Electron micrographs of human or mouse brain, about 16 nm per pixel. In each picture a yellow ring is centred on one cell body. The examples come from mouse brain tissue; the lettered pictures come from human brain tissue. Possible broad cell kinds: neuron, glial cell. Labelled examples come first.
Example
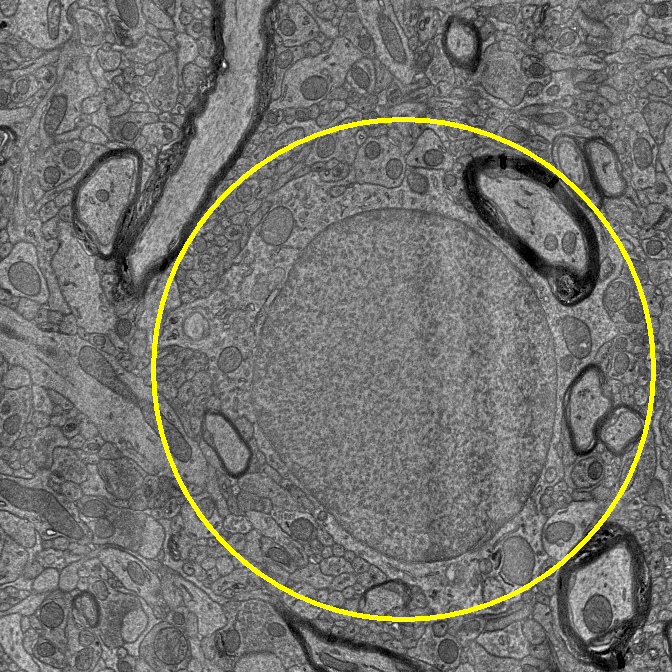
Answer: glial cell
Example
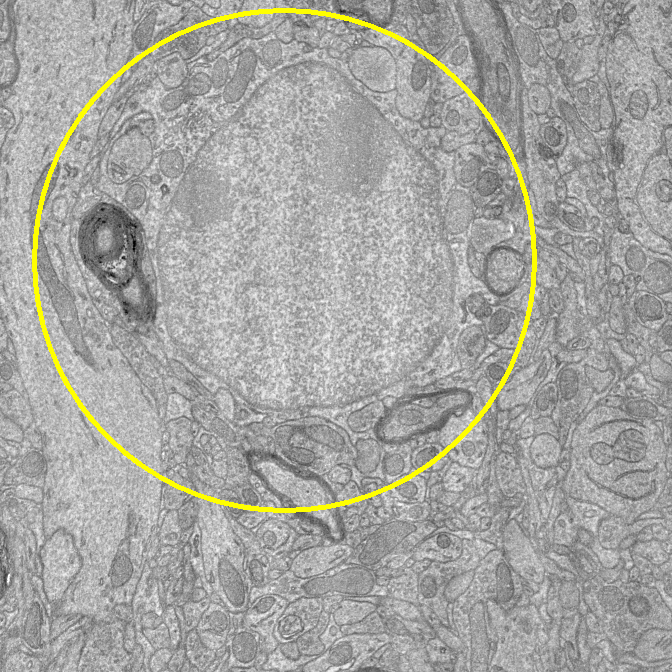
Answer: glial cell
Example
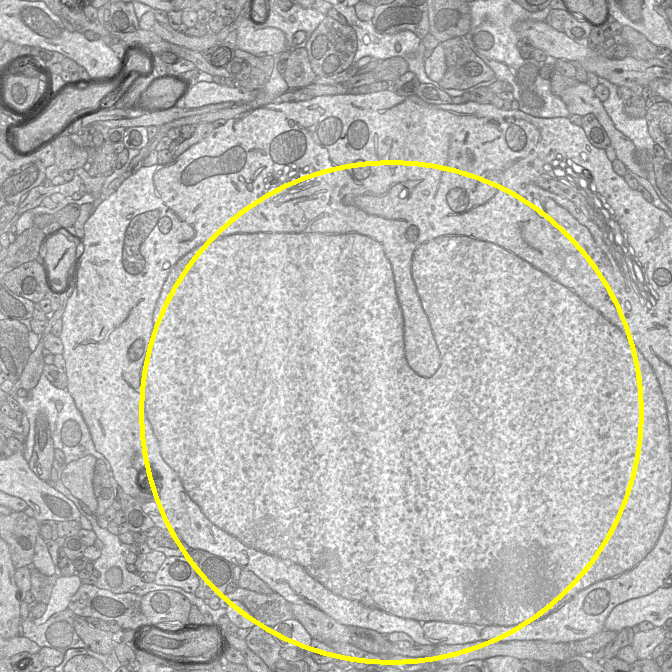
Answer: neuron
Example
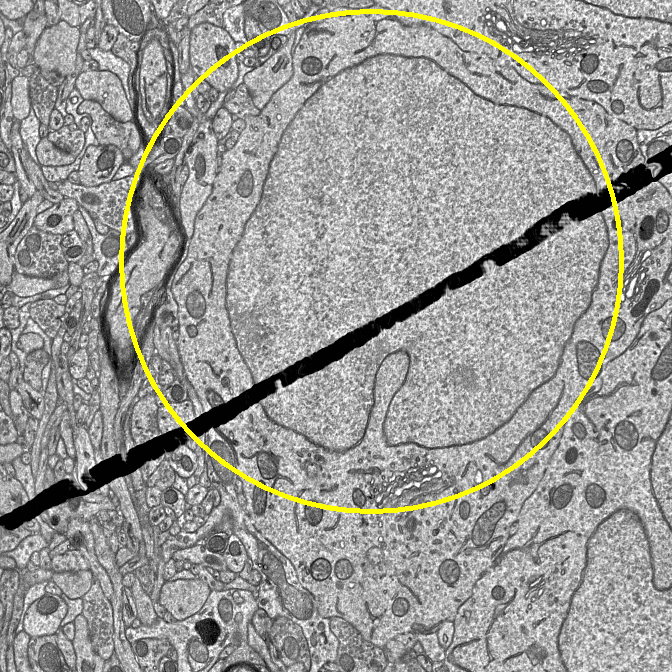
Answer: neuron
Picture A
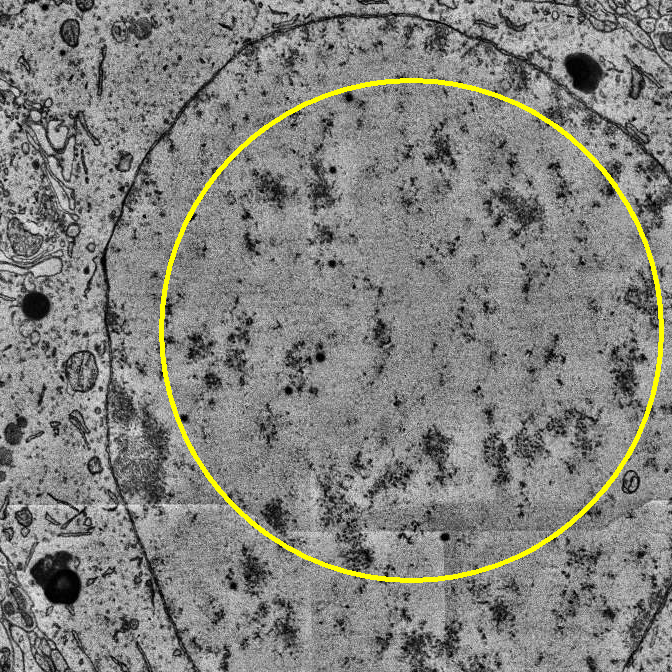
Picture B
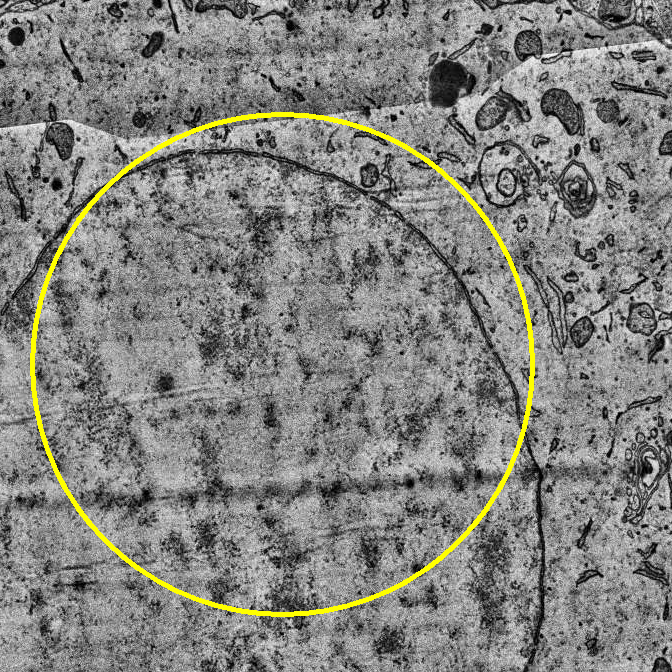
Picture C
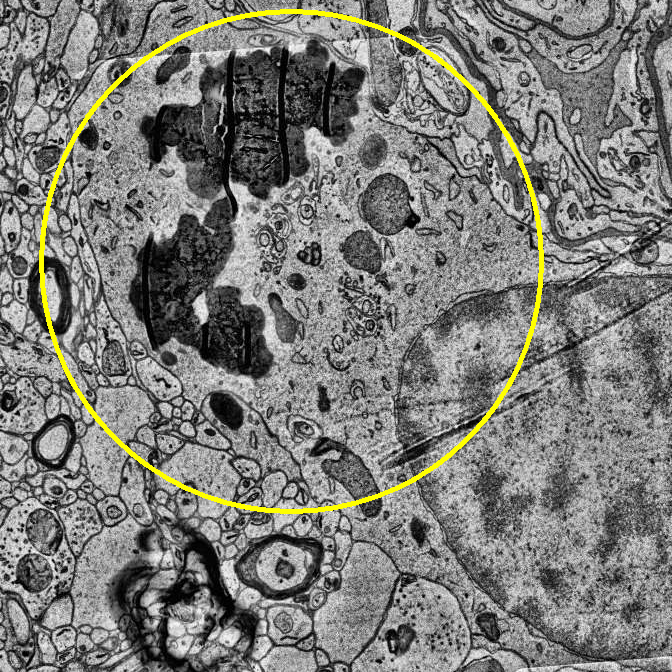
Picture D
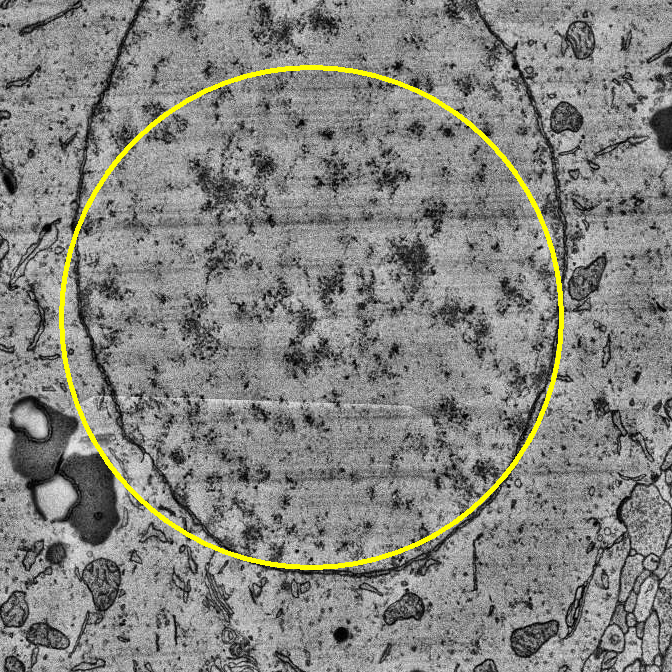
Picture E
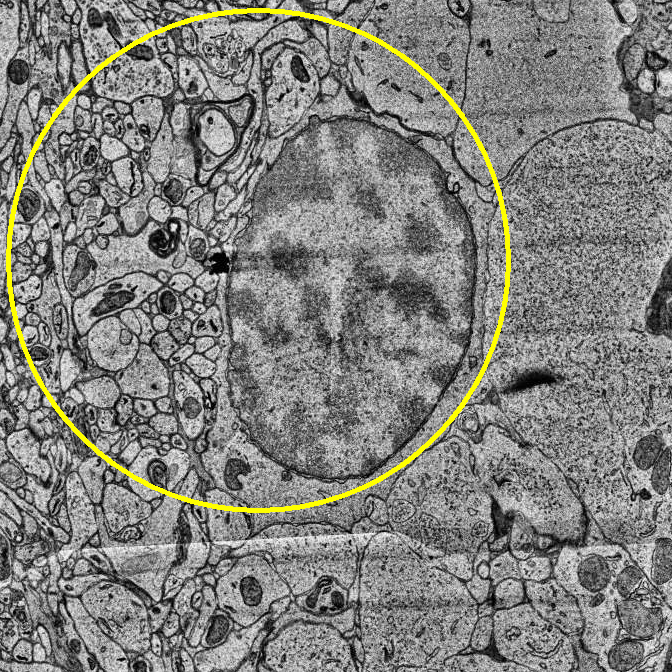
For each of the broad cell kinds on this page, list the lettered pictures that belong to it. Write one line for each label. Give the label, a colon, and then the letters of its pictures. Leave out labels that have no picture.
neuron: A, B, D
glial cell: C, E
